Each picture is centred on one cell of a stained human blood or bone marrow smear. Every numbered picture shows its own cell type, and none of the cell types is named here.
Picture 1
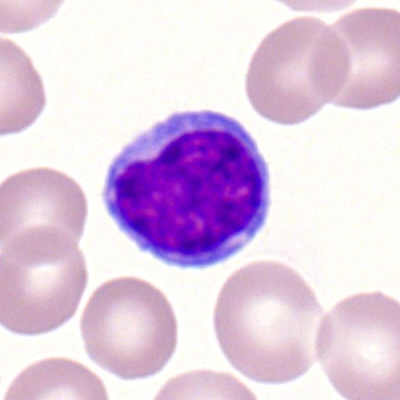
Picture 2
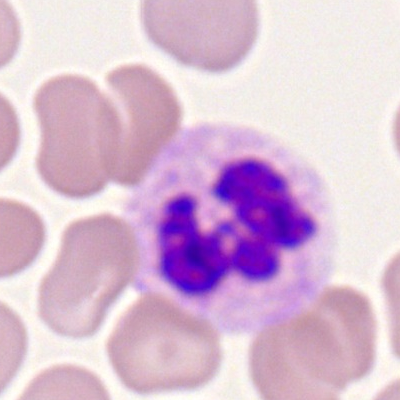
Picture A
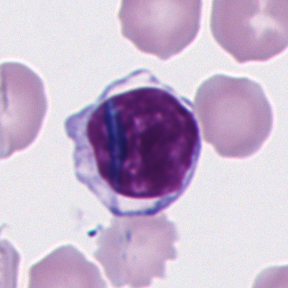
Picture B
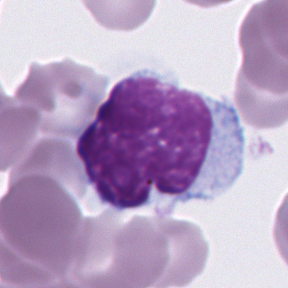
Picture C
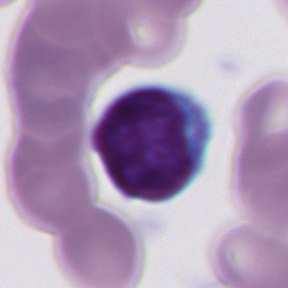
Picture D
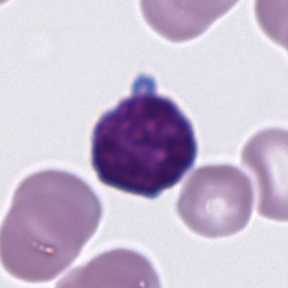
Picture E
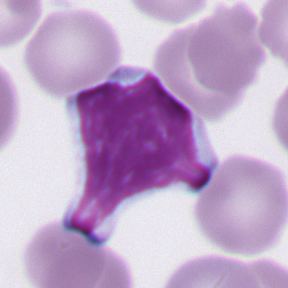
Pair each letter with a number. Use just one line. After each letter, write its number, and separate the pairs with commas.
A 1, B 1, C 1, D 1, E 1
